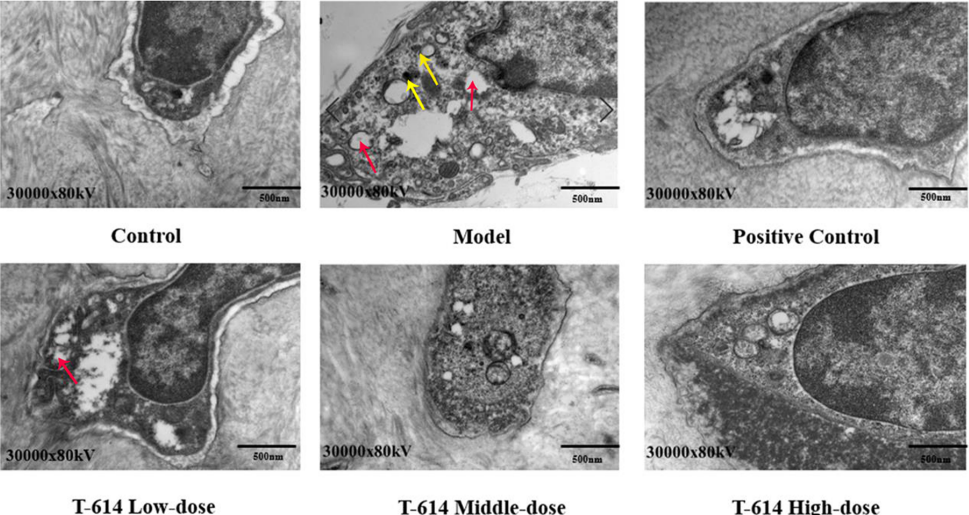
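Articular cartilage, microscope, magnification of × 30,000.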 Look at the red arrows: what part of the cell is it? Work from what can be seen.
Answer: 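The red arrows point to pale, rounded, empty-looking spaces within the cytoplasm. That points to this answer: vacuole-like structure.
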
